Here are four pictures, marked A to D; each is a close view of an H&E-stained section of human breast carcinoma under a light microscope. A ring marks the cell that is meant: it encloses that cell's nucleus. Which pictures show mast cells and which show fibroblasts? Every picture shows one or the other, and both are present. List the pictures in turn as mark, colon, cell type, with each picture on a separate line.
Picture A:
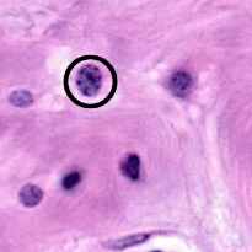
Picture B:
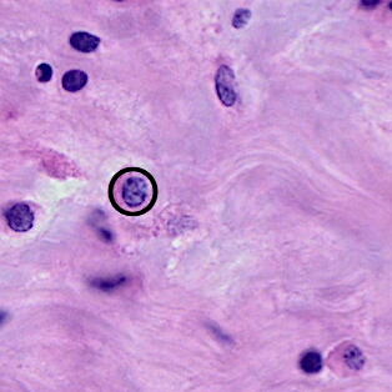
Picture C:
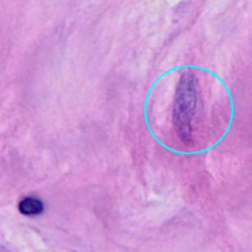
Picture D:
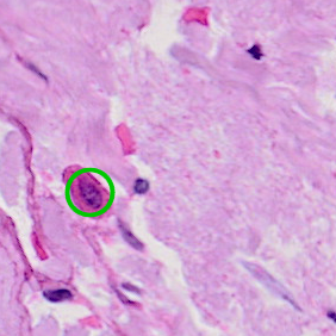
A: mast cell
B: mast cell
C: fibroblast
D: mast cell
